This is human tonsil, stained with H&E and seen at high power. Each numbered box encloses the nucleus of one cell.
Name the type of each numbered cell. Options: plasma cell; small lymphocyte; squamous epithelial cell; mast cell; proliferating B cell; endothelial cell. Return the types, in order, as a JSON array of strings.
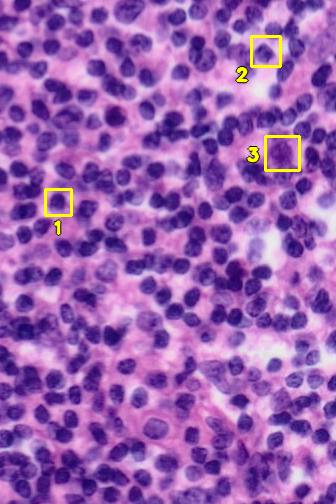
["small lymphocyte", "small lymphocyte", "proliferating B cell"]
